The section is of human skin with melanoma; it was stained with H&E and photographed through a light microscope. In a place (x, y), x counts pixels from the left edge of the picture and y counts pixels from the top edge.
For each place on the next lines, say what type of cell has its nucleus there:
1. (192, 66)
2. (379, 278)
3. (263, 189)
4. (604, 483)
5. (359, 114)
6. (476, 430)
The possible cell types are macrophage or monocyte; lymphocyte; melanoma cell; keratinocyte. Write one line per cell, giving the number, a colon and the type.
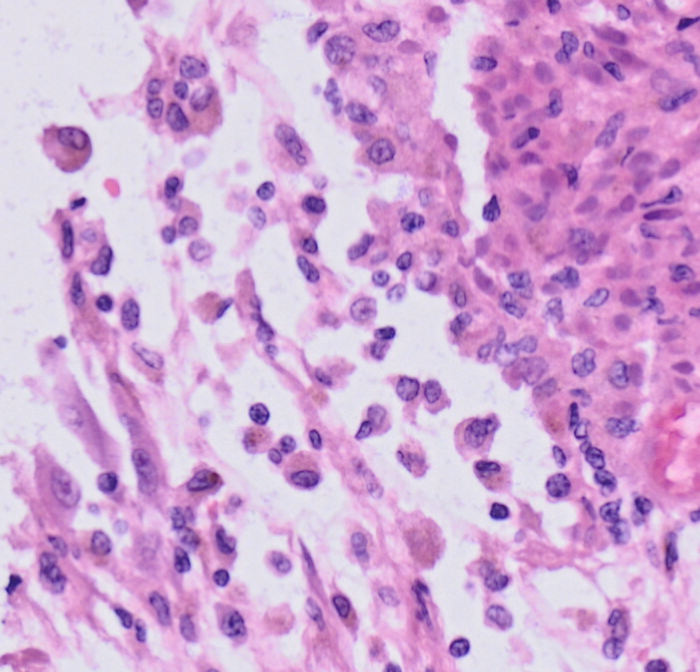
1: macrophage or monocyte
2: lymphocyte
3: lymphocyte
4: lymphocyte
5: macrophage or monocyte
6: macrophage or monocyte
